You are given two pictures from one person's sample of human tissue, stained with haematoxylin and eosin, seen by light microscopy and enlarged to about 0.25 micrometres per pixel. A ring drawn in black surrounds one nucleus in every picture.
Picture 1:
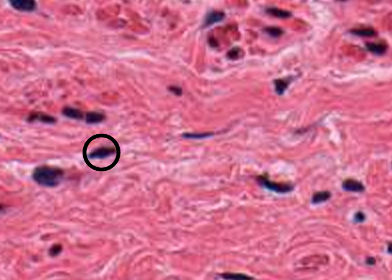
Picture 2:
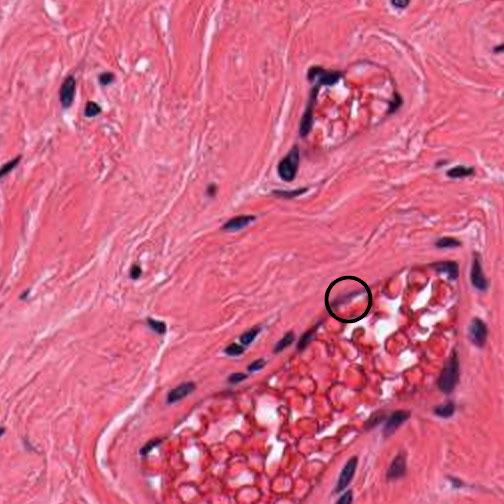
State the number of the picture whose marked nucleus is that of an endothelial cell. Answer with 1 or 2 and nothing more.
2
